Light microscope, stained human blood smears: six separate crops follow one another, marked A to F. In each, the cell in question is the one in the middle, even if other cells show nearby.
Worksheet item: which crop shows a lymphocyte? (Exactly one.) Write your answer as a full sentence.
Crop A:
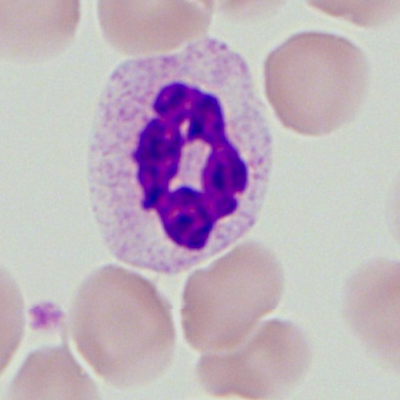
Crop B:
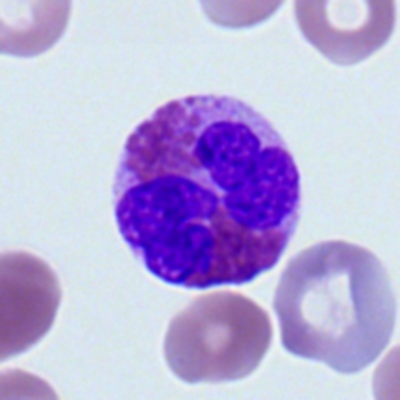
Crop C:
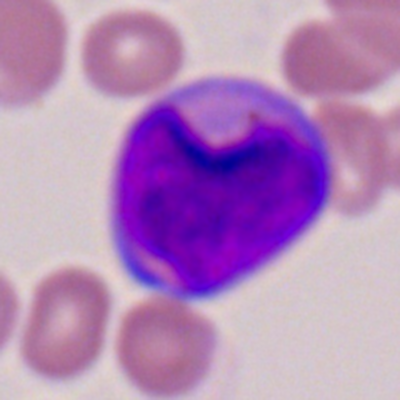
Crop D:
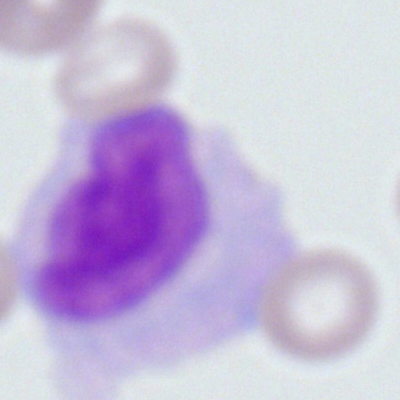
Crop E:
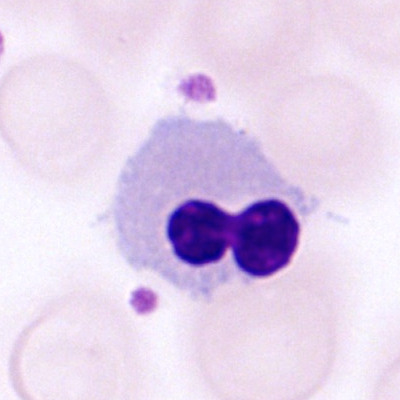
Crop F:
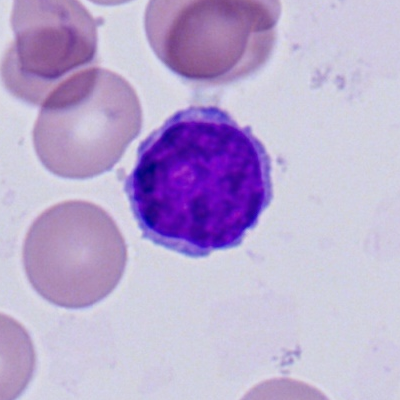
The crop that shows a lymphocyte is crop F.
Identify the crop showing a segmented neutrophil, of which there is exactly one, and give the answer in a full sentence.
Crop A is the crop in which a segmented neutrophil is shown.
